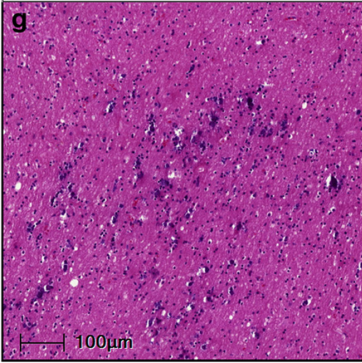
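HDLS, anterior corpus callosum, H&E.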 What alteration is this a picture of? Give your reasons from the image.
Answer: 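Calcifications. Blue-black splotchy deposits in a pink background. The deposits form a patch across the middle of the field.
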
